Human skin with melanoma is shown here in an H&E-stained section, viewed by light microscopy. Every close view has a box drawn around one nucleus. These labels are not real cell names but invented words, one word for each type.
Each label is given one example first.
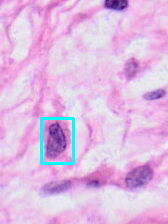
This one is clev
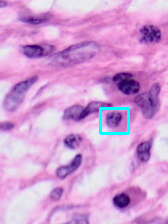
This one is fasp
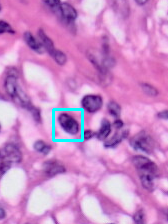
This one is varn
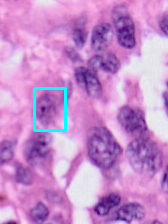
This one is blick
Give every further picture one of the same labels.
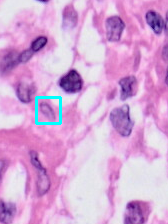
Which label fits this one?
clev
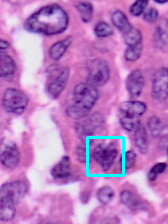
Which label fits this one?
blick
